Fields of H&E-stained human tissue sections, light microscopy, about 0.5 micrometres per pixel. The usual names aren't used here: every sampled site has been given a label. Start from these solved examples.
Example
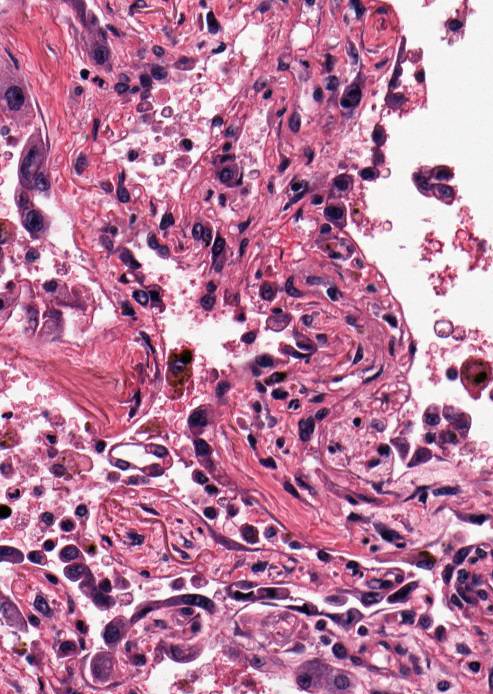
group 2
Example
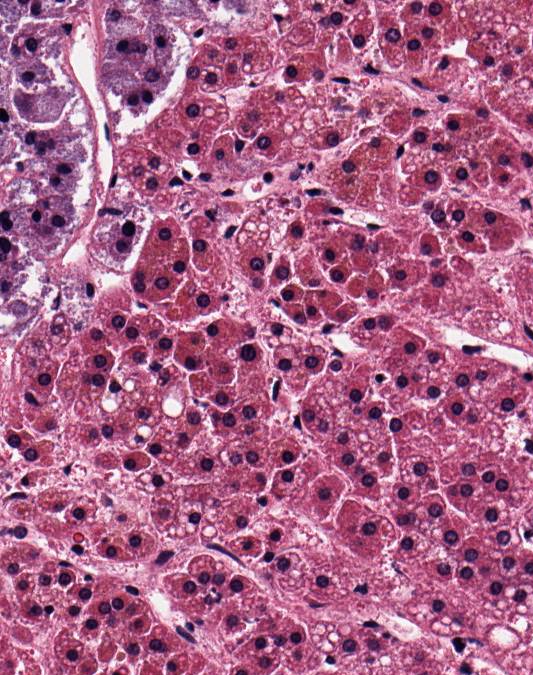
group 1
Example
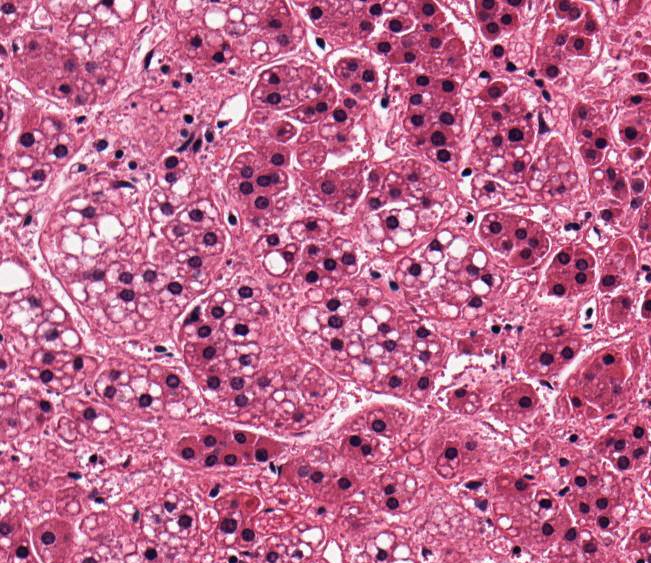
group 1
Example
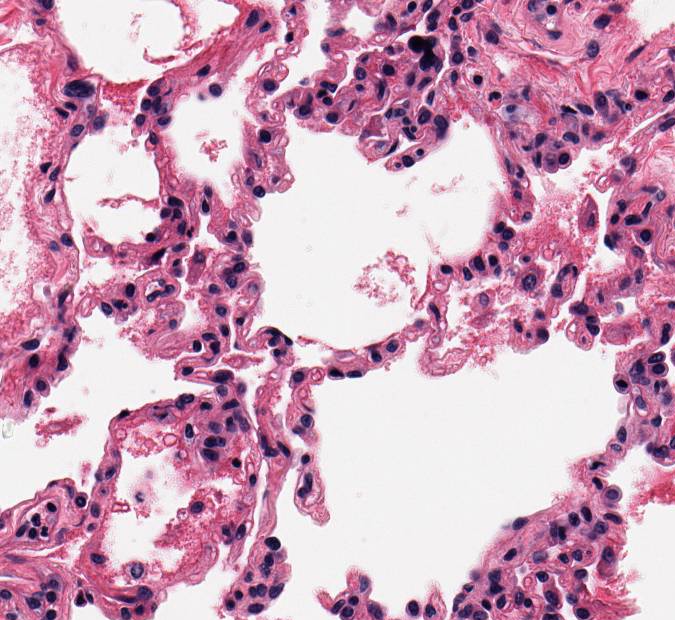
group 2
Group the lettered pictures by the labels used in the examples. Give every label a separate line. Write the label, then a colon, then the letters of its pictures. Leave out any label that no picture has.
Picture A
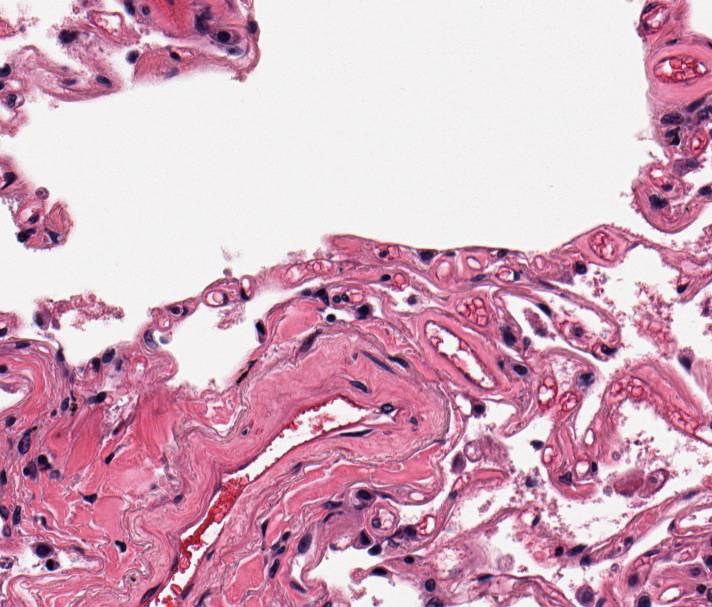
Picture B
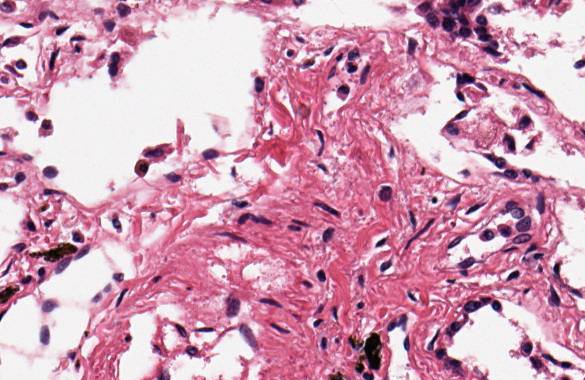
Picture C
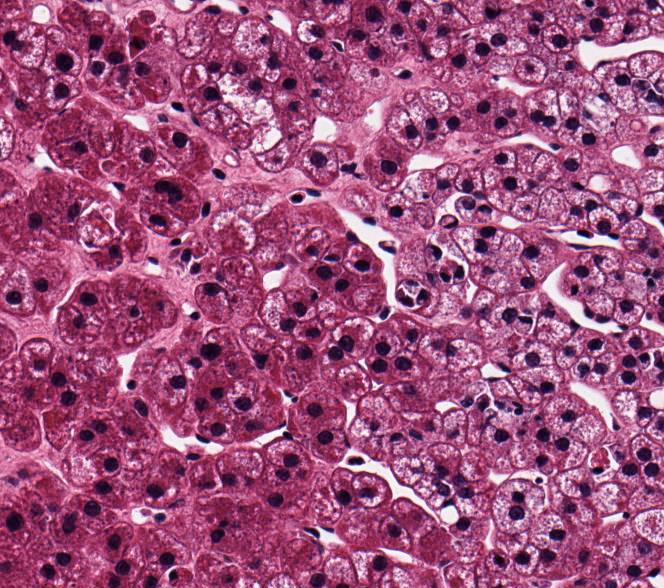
group 2: A, B
group 1: C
